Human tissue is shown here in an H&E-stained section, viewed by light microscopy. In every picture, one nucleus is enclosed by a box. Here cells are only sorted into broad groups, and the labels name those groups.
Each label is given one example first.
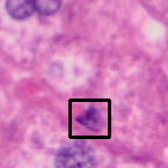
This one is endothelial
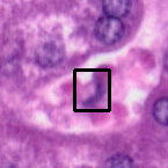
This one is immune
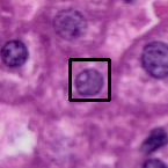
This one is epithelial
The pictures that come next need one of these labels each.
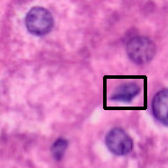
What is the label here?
endothelial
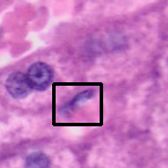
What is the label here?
endothelial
